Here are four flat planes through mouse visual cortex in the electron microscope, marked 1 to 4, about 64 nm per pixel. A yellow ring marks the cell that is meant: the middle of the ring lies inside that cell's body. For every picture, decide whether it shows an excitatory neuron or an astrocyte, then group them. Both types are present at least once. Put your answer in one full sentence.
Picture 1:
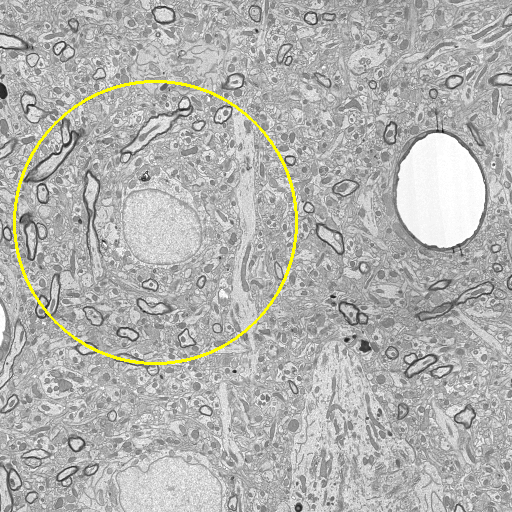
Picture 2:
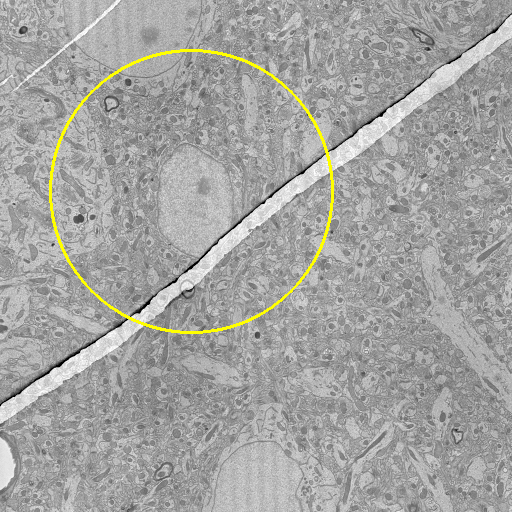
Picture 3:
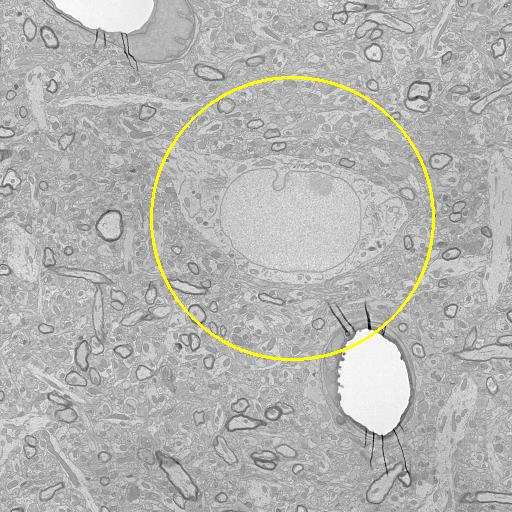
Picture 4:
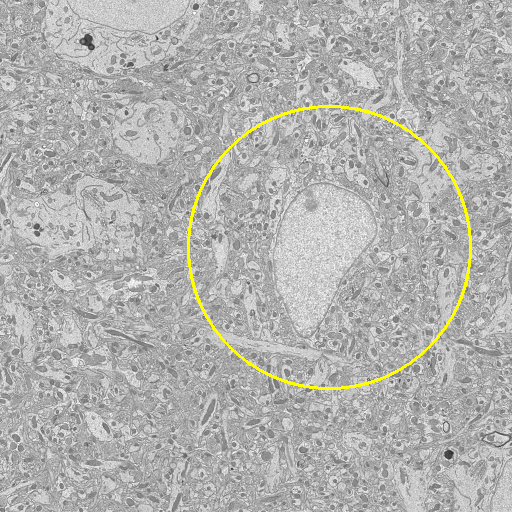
Picture 3 shows an excitatory neuron, while pictures 1, 2 and 4 show astrocytes.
